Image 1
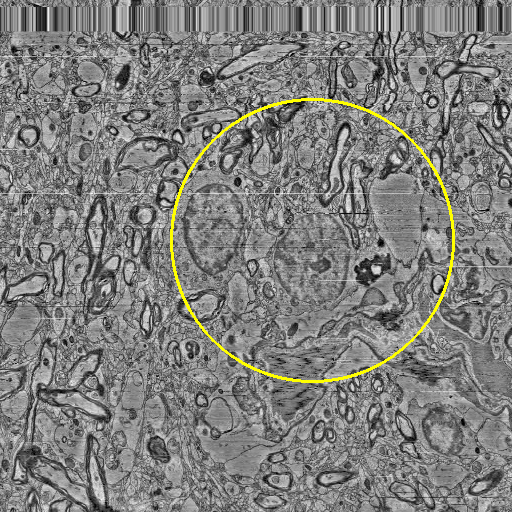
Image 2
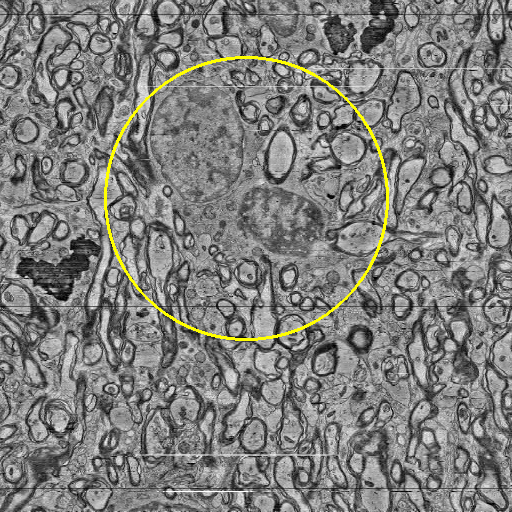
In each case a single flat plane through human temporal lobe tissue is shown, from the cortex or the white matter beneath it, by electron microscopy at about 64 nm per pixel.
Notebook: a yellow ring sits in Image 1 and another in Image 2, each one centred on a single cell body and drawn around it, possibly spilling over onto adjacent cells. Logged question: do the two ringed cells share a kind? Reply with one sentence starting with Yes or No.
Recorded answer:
Yes, both centre cells inside the rings of Image 1 and Image 2 share one kind.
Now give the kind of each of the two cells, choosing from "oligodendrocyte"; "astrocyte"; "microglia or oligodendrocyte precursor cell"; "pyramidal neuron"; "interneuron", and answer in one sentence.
Both the first and the second picture show an oligodendrocyte in the ring.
